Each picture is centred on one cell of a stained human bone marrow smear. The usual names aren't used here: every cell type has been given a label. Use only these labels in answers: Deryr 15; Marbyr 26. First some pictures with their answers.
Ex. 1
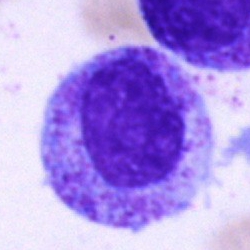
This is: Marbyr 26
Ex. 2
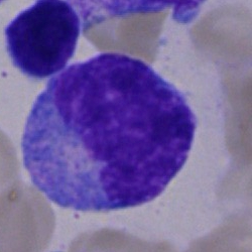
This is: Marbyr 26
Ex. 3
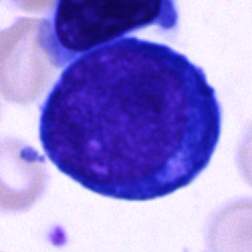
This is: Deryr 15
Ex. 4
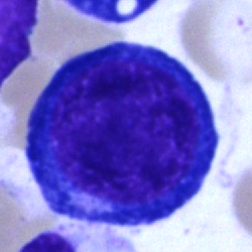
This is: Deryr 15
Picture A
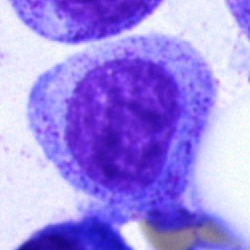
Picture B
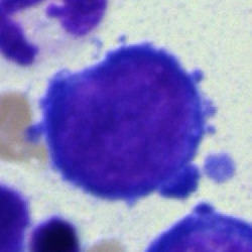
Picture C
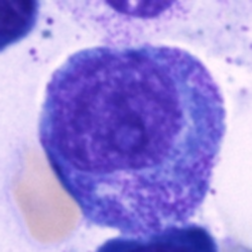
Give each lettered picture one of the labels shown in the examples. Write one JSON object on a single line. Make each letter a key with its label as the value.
{"A": "Marbyr 26", "B": "Deryr 15", "C": "Marbyr 26"}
